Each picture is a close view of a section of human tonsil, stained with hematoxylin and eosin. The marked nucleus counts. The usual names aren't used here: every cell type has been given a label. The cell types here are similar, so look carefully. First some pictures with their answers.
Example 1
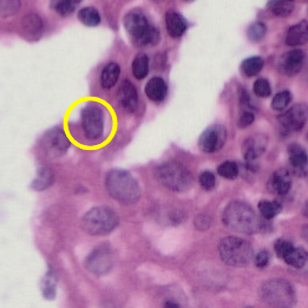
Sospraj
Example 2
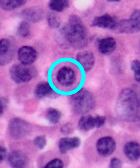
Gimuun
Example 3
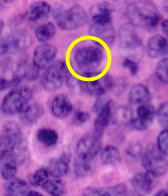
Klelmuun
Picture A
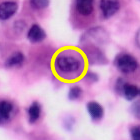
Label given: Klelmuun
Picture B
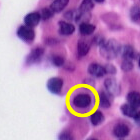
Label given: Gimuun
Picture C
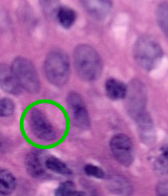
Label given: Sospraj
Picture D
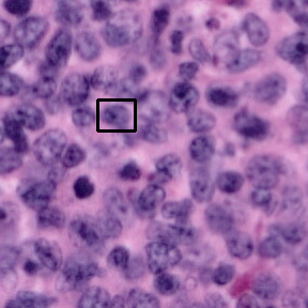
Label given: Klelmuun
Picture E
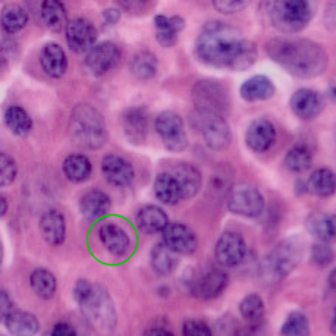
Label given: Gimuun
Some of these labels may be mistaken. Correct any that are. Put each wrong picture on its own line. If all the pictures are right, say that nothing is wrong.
A should be Gimuun, not Klelmuun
